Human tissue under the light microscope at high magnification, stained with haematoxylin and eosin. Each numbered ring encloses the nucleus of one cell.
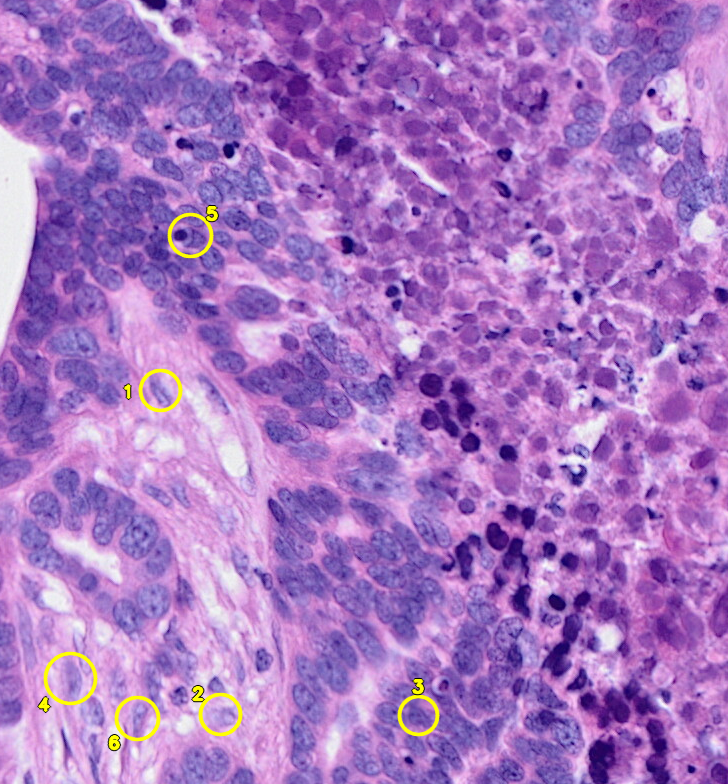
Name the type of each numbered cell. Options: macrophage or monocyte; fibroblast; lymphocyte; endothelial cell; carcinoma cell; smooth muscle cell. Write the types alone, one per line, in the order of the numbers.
fibroblast
fibroblast
carcinoma cell
fibroblast
carcinoma cell
fibroblast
